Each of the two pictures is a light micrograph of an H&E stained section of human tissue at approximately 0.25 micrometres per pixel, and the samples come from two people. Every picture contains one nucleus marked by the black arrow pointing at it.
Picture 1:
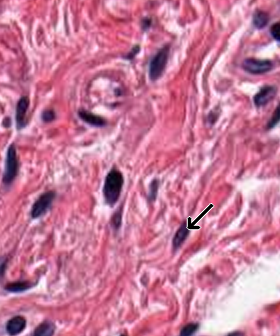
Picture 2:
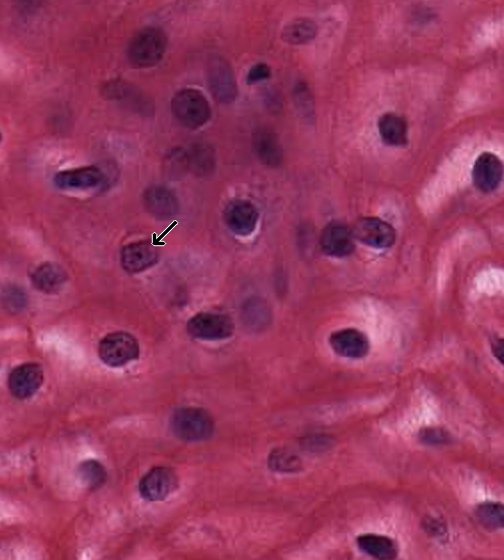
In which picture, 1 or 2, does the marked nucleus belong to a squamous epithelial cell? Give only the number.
2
